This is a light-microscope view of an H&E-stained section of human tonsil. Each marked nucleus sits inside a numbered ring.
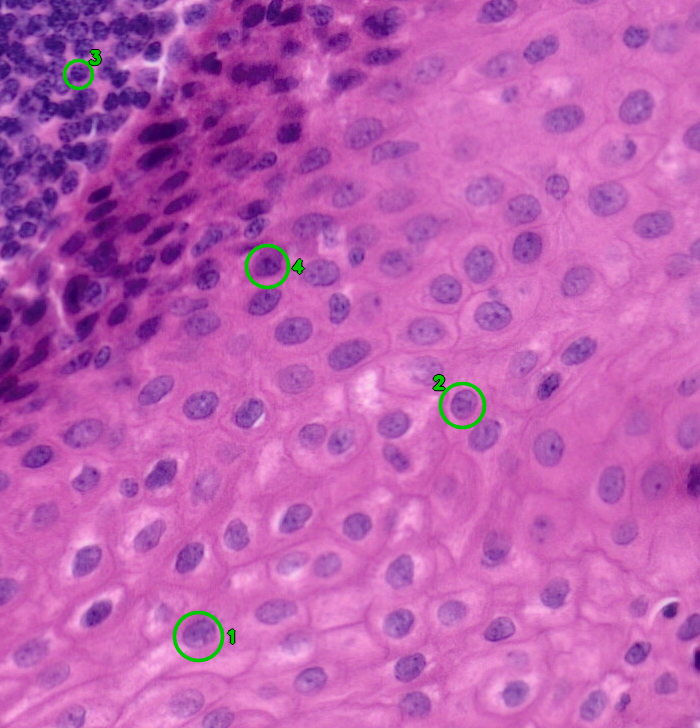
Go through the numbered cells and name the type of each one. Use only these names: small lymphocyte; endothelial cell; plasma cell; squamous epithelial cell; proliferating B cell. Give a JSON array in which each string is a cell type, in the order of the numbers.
["squamous epithelial cell", "squamous epithelial cell", "small lymphocyte", "squamous epithelial cell"]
